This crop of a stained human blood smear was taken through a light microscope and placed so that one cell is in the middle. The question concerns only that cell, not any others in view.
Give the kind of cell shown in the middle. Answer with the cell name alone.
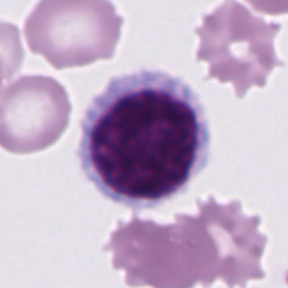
hairy cell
